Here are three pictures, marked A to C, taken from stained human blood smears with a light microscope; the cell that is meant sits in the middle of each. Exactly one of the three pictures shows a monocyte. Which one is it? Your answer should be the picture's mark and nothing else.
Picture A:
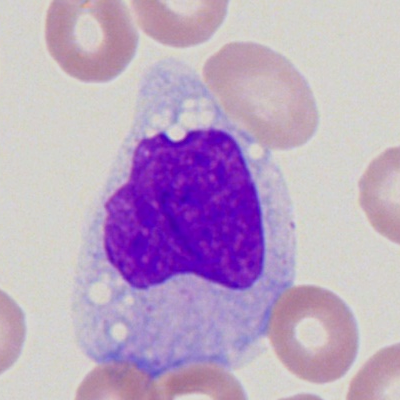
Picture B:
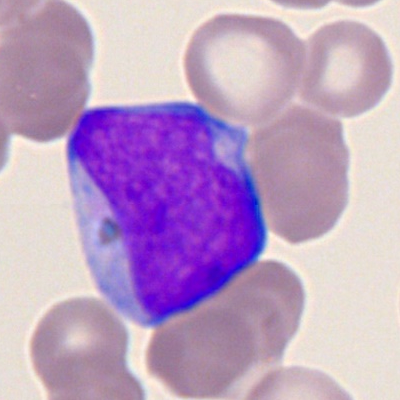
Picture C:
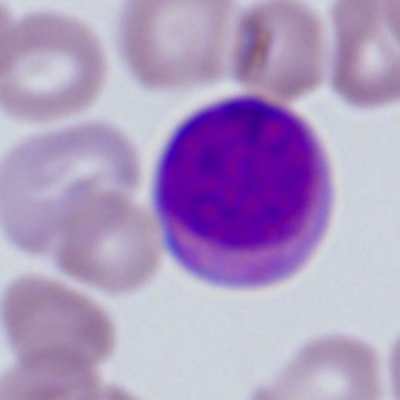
A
